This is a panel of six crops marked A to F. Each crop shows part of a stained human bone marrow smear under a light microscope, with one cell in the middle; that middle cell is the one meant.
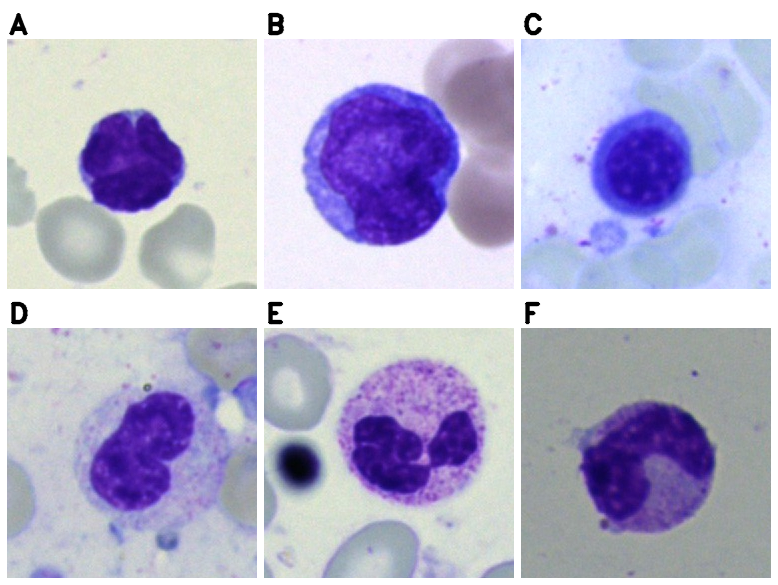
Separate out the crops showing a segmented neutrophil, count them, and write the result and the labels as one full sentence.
The one crop that shows a segmented neutrophil is crop E.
